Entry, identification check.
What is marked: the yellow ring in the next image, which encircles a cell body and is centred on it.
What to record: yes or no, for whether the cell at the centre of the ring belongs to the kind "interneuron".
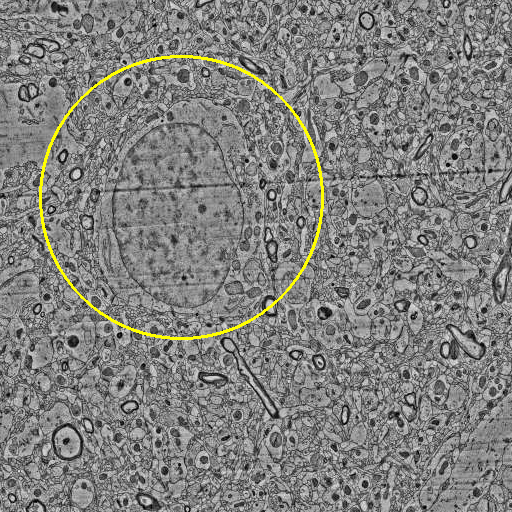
Yes, it belongs to that kind.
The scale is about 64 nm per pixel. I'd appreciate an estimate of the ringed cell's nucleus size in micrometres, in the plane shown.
The nucleus measures about 12 by 8 micrometres in this plane.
